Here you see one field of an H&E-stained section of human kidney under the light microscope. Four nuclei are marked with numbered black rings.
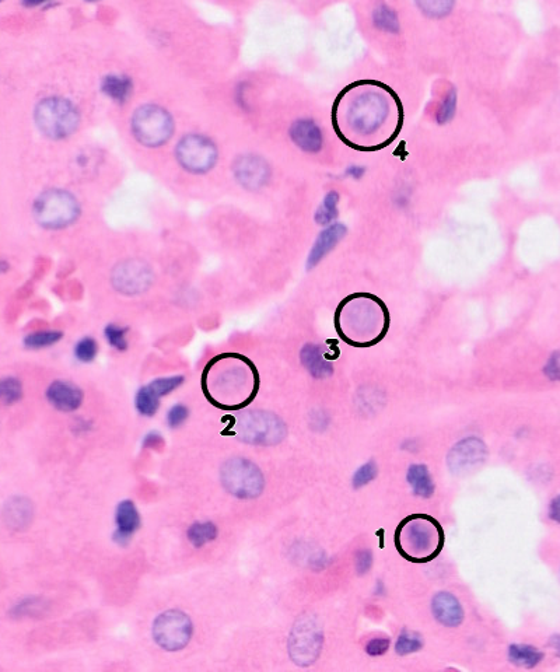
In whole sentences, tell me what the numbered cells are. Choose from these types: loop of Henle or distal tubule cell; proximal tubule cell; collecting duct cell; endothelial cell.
Cell 1 is a loop of Henle or distal tubule cell, cell 2 is a proximal tubule cell, cell 3 is a proximal tubule cell and cell 4 is a proximal tubule cell.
